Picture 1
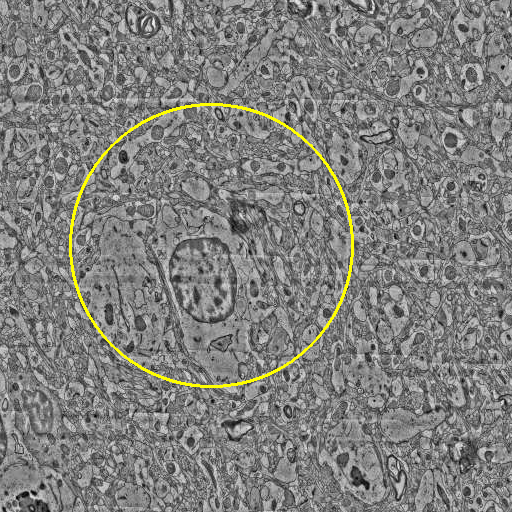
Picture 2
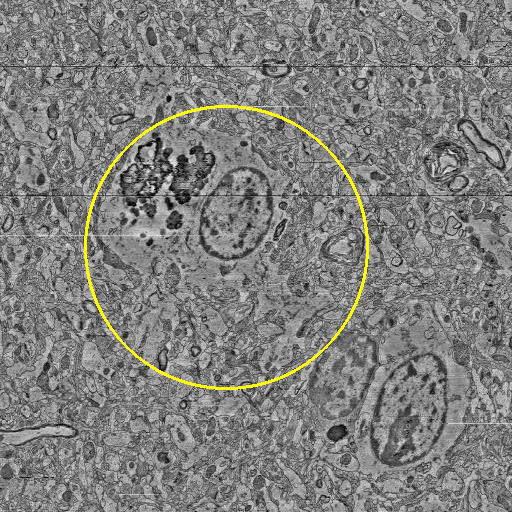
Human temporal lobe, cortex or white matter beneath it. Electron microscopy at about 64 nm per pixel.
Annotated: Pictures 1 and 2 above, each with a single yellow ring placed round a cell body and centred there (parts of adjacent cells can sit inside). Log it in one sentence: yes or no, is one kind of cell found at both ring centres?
Yes, the ring centres of the two pictures hold cells of one kind.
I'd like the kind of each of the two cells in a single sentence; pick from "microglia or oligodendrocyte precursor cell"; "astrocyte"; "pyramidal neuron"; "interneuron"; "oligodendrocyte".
Both cells are the same kind, each one being an astrocyte.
